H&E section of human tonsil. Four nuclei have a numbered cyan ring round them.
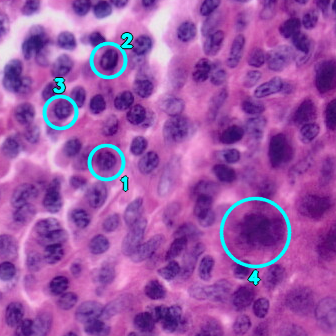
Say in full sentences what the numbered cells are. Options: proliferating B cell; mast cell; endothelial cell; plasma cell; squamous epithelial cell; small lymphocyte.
Cell 1 is a plasma cell, cell 2 is a plasma cell, cell 3 is a plasma cell and cell 4 is a squamous epithelial cell.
